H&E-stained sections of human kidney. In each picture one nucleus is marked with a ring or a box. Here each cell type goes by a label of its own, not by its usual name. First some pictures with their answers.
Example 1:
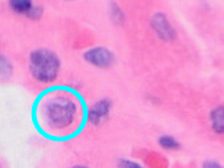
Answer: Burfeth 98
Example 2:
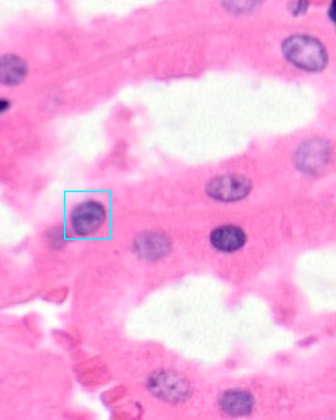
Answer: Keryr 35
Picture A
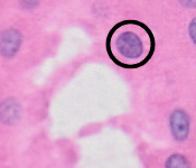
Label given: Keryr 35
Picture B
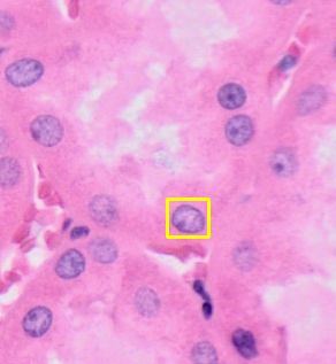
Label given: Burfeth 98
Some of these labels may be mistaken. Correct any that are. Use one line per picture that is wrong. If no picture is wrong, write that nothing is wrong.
B: Keryr 35, not Burfeth 98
